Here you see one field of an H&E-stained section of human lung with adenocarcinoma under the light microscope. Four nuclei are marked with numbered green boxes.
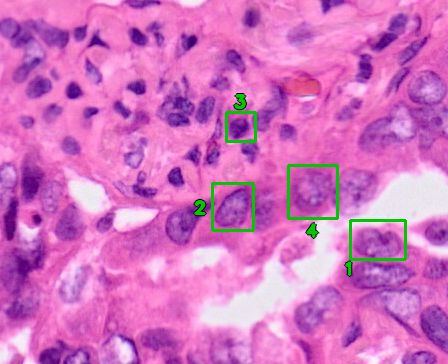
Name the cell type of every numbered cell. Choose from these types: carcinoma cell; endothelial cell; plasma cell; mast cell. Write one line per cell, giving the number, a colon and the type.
1: carcinoma cell
2: carcinoma cell
3: plasma cell
4: carcinoma cell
